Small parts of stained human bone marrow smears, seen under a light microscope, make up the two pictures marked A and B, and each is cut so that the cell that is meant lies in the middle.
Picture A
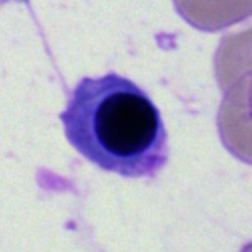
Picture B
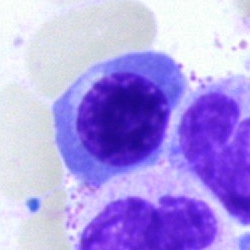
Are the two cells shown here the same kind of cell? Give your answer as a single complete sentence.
Yes, both cells are erythroblasts.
